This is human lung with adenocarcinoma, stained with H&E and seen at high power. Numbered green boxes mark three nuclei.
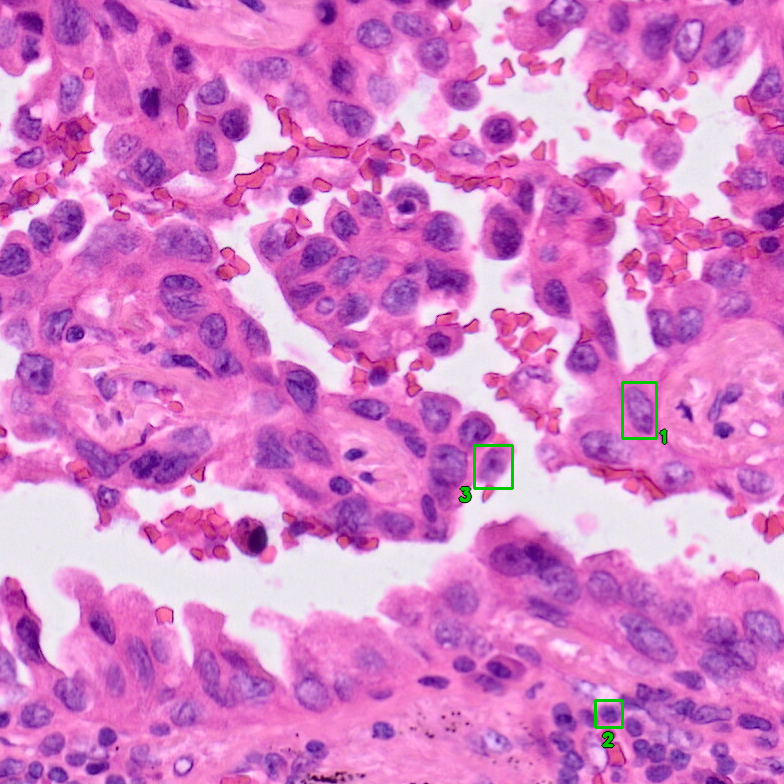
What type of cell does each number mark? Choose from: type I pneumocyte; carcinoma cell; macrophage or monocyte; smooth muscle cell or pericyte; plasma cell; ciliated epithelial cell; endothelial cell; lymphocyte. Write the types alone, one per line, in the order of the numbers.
carcinoma cell
lymphocyte
carcinoma cell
